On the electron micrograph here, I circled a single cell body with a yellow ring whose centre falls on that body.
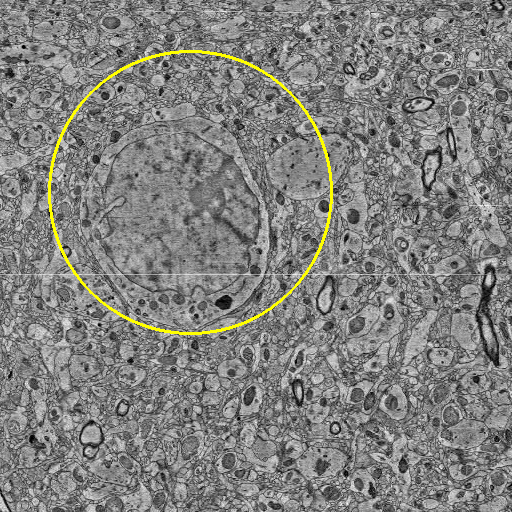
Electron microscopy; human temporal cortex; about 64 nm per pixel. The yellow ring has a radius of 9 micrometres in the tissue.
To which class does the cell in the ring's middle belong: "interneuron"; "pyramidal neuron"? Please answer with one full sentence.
In this picture, the cell body circled at the ring's centre belongs to an interneuron.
